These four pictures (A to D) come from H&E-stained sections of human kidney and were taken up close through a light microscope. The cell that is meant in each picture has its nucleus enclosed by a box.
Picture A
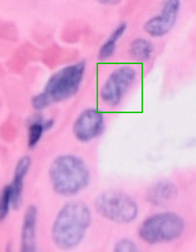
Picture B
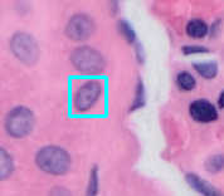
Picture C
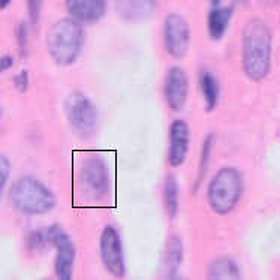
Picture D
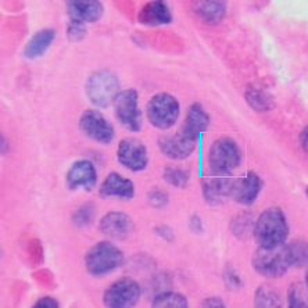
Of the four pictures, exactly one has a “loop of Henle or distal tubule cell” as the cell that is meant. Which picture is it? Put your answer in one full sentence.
The “loop of Henle or distal tubule cell” is the one in picture C.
